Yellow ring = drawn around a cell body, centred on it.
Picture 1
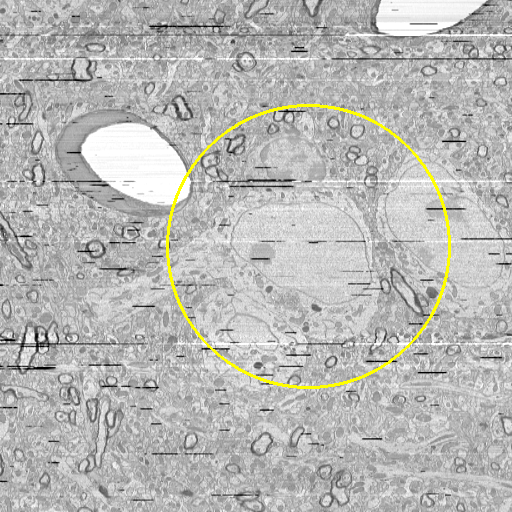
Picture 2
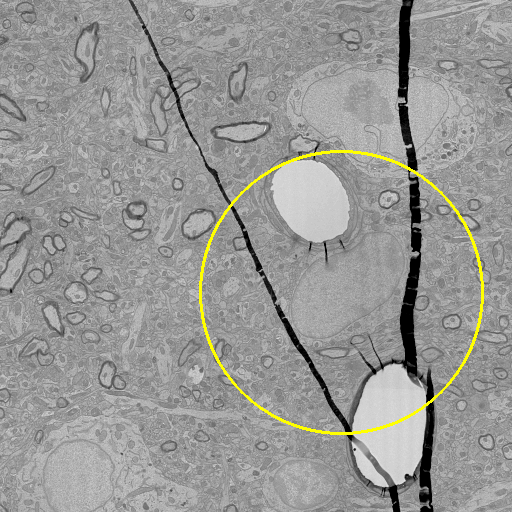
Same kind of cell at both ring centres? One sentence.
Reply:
No, they are two kinds of cell.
